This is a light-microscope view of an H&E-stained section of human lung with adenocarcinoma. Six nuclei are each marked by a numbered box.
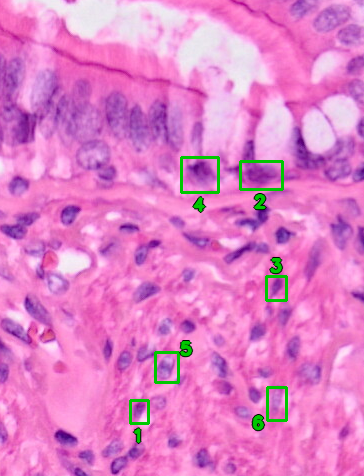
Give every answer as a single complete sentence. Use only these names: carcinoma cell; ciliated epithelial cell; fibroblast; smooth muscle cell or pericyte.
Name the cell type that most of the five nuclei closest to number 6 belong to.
Of the five nuclei nearest to number 6, most belong to smooth muscle cells or pericytes.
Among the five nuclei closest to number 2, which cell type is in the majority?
Ciliated epithelial cells make up most of the five nuclei closest to number 2.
